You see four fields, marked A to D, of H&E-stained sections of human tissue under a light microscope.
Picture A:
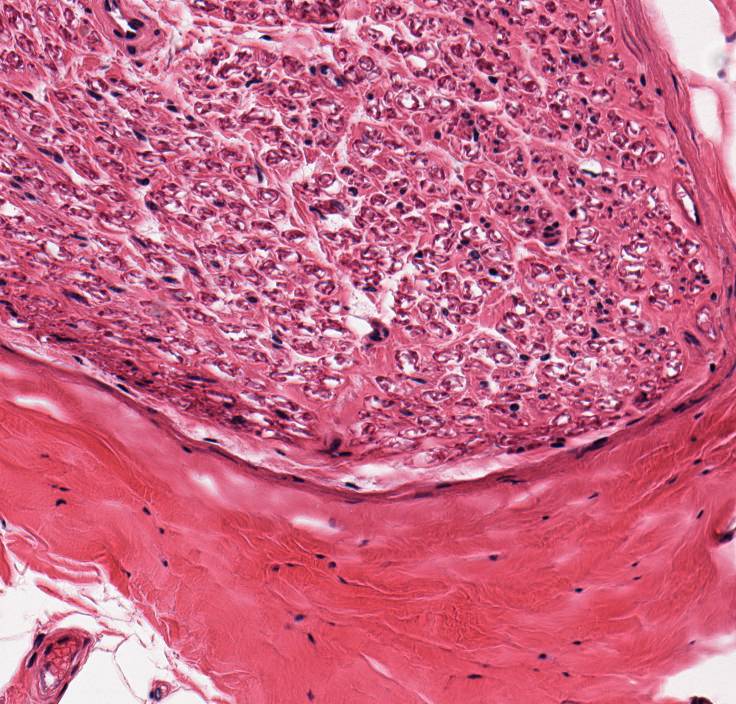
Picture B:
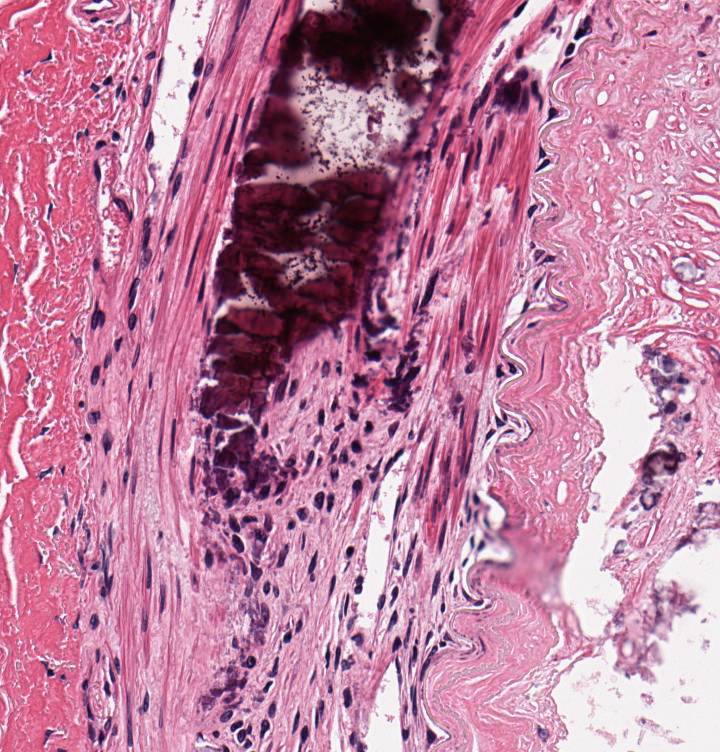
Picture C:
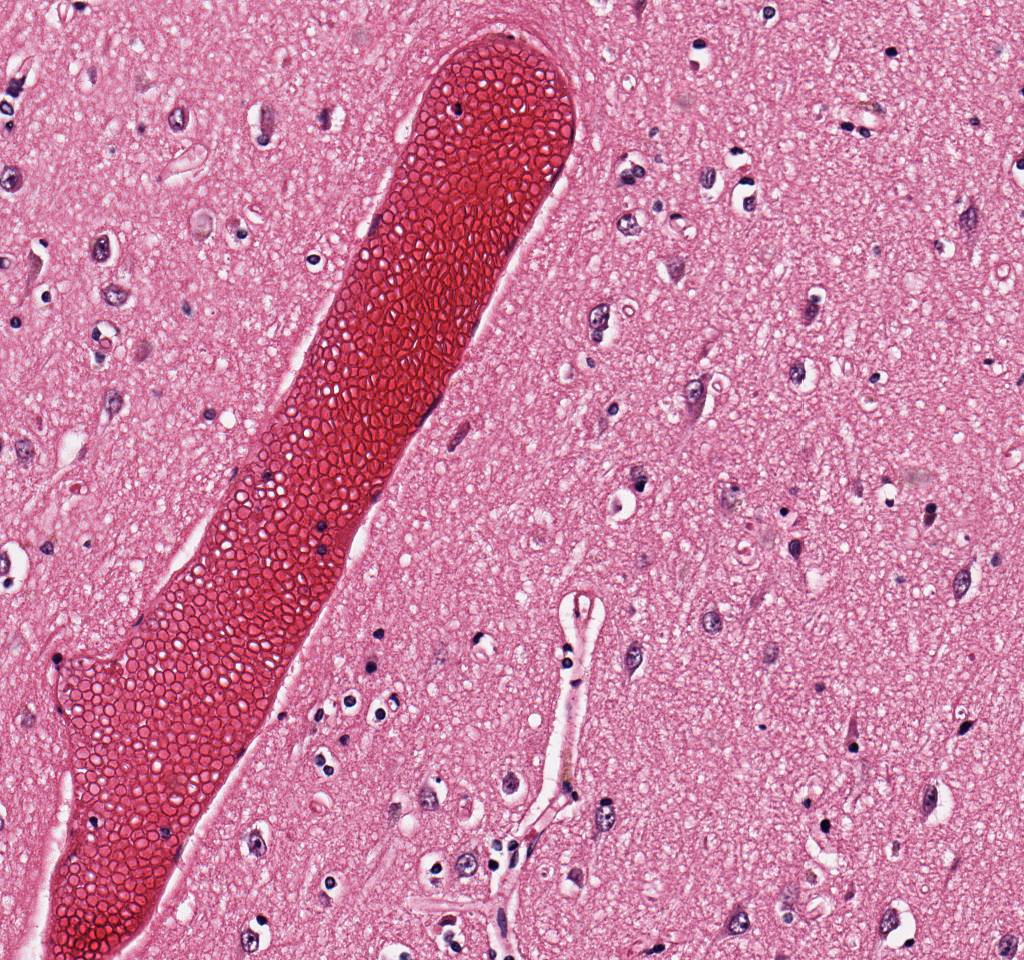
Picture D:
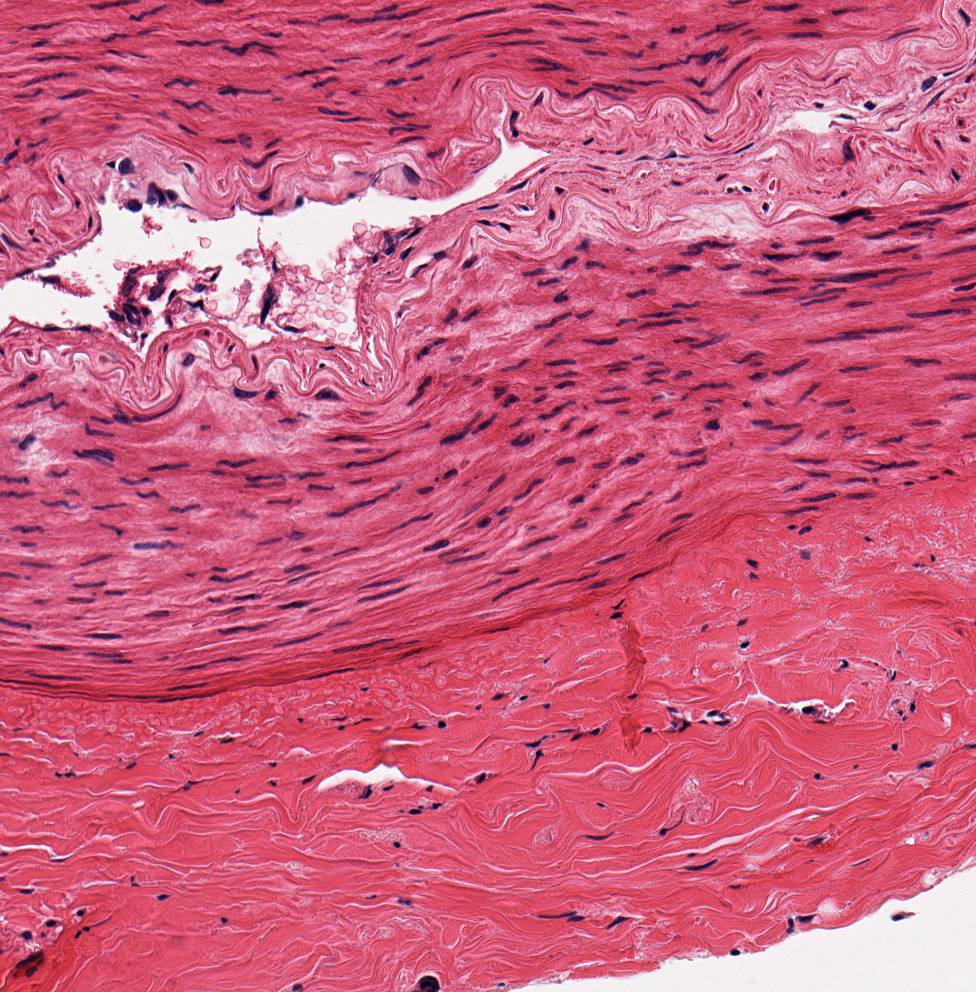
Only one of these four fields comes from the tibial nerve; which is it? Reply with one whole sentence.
The one that comes from the tibial nerve is picture A.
